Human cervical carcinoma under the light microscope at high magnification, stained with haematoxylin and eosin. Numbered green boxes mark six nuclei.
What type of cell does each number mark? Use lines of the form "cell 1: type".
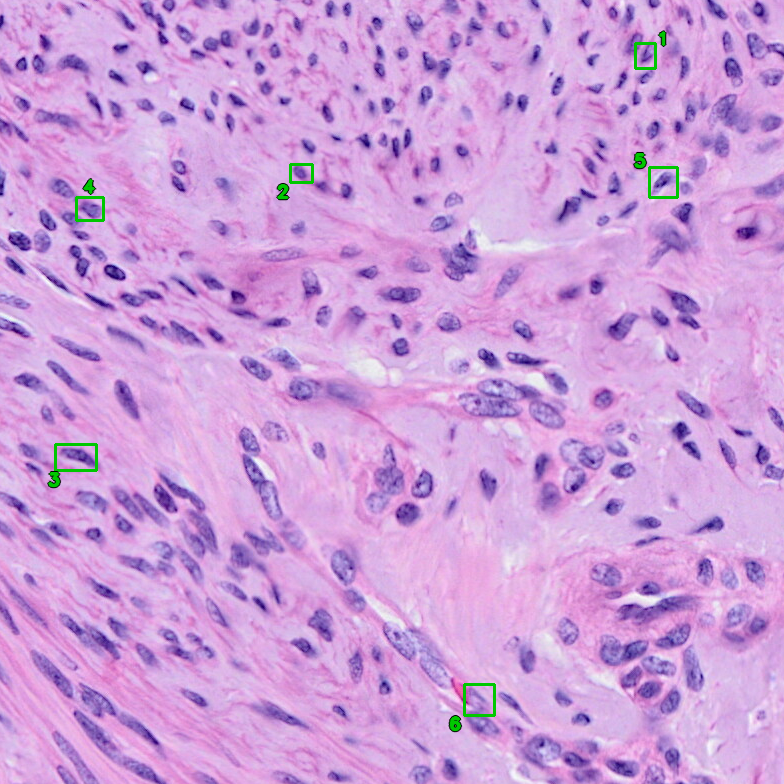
cell 1: smooth muscle cell
cell 2: smooth muscle cell
cell 3: smooth muscle cell
cell 4: smooth muscle cell
cell 5: fibroblast
cell 6: endothelial cell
